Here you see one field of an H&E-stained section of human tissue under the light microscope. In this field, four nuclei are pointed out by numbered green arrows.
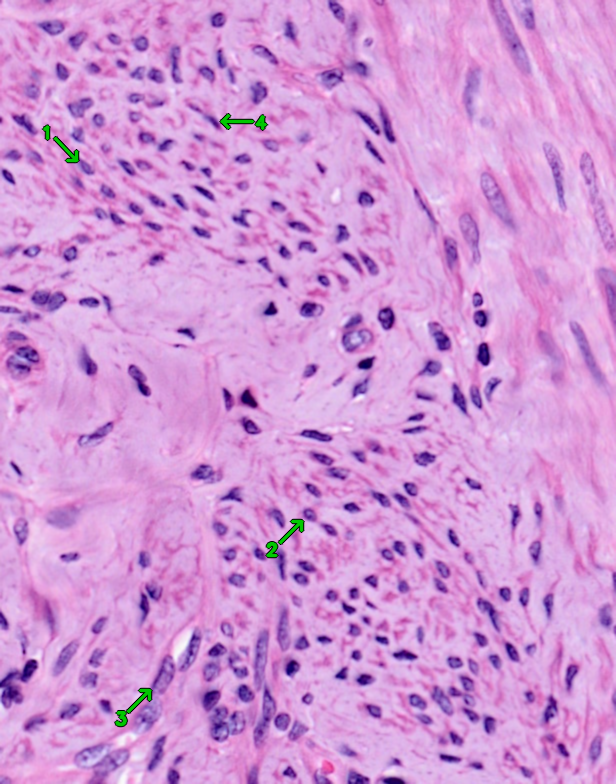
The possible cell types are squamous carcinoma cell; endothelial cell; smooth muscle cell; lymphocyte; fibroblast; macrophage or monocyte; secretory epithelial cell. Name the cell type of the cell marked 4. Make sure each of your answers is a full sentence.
Marked with the number 4, this cell is a smooth muscle cell.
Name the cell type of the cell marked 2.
Among the marked nuclei, number 2 belongs to a smooth muscle cell.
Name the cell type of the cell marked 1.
Cell 1 is classified as a smooth muscle cell.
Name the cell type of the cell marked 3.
The cell given label 3 is an endothelial cell.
